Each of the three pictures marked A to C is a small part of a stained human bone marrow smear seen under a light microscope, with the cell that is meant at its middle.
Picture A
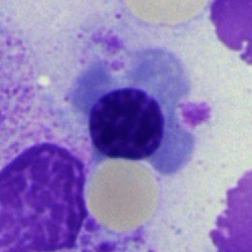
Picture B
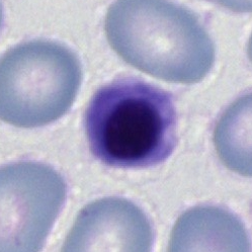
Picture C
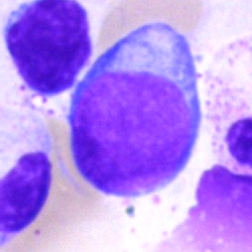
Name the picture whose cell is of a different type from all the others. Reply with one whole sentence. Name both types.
The different one is picture C; it shows a blast, whereas all the others show erythroblasts.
